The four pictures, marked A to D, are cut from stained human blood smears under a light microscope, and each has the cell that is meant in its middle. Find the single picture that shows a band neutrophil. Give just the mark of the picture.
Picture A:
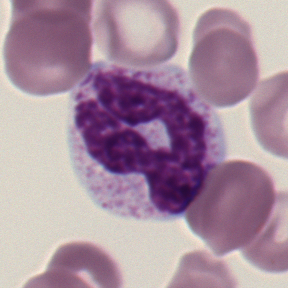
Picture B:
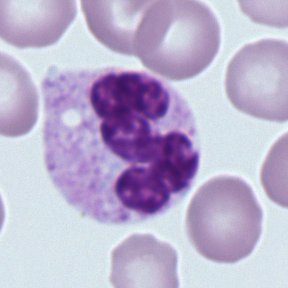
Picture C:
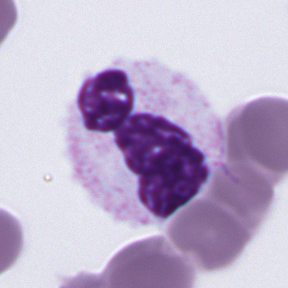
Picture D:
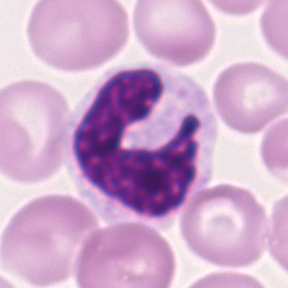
D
